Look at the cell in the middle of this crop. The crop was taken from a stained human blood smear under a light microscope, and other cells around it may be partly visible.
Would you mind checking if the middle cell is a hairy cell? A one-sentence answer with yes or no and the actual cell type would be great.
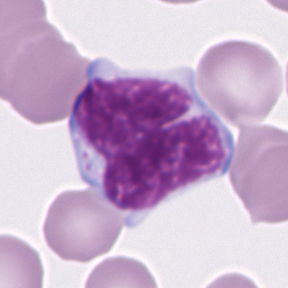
No, mark the middle cell as a large granular lymphocyte, not a hairy cell.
